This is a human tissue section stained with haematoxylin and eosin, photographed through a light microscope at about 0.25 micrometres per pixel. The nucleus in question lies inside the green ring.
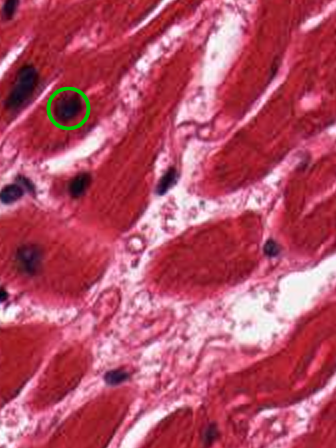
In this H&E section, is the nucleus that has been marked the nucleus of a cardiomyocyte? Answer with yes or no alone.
yes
